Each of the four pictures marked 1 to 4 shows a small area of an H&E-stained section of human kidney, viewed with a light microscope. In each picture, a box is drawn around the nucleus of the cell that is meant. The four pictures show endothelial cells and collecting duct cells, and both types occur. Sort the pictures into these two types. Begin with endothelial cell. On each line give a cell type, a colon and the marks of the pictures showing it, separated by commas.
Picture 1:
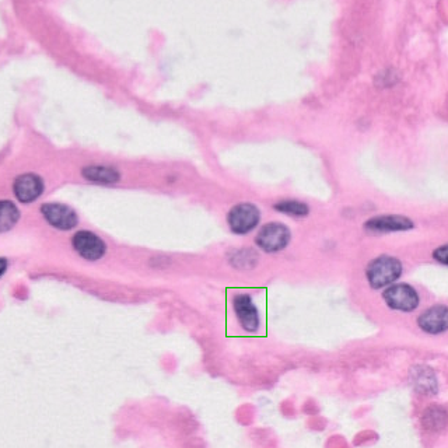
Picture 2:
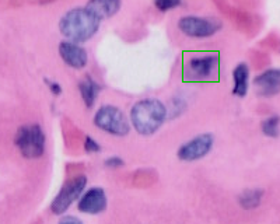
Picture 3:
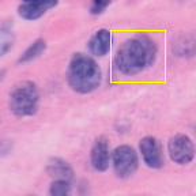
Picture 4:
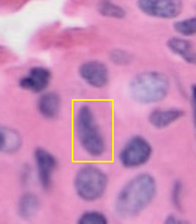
endothelial cell: 1
collecting duct cell: 2, 3, 4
